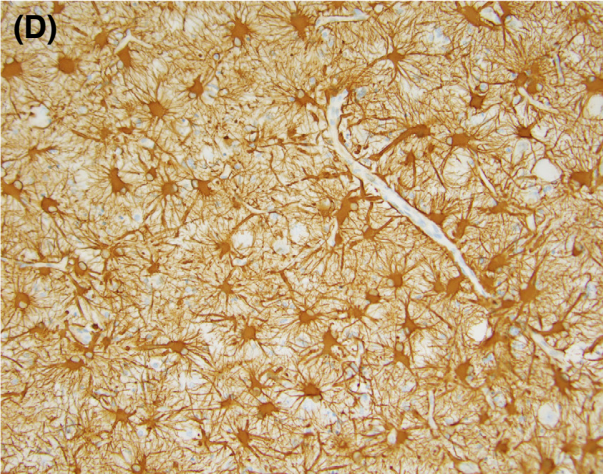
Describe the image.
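Brain tissue crowded with brown stained star-shaped cells, each with a dense body and many thick radiating processes that interweave into a dense brown meshwork. The cells are spread evenly across the field, and several send processes onto a thin vessel running diagonally through it. The number of these cells and the stoutness of their processes point to reactive astrocytes.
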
